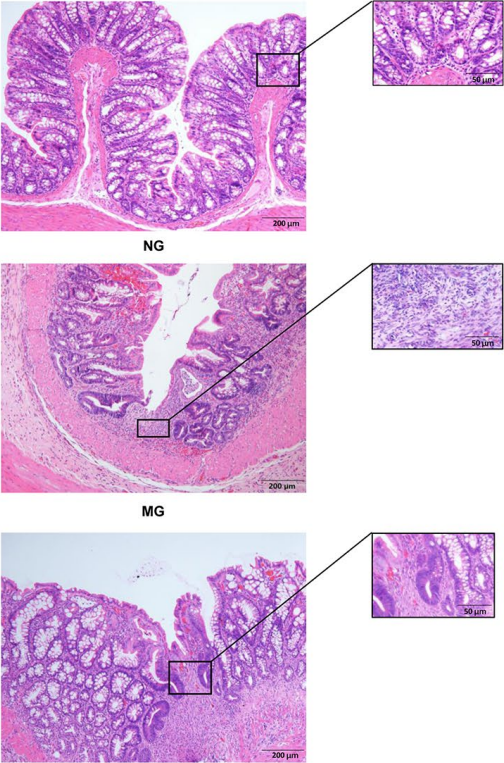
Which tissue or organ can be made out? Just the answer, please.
Colonic tissue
